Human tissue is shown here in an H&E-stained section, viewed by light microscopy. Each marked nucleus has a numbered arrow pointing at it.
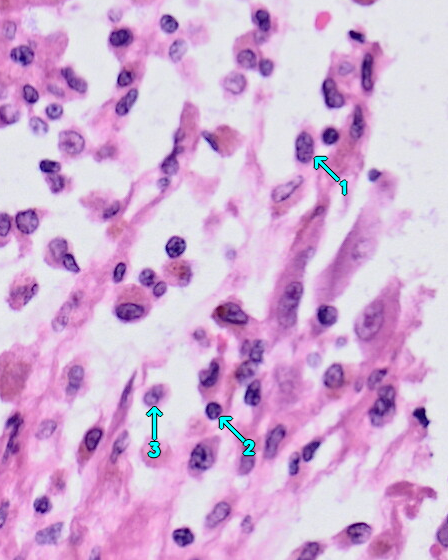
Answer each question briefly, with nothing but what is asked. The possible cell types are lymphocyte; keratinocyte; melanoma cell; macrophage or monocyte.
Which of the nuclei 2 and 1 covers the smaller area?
2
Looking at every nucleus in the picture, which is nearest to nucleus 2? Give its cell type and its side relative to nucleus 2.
a macrophage or monocyte above nucleus 2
